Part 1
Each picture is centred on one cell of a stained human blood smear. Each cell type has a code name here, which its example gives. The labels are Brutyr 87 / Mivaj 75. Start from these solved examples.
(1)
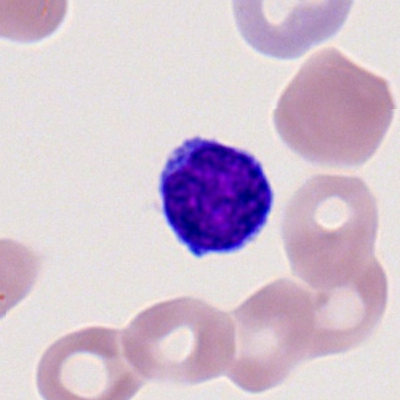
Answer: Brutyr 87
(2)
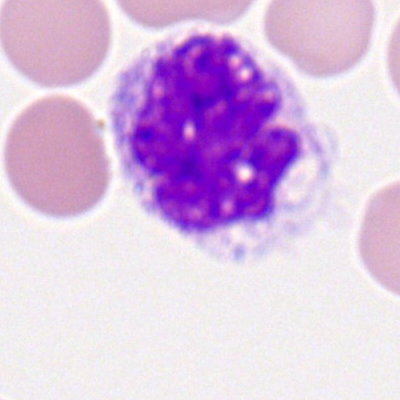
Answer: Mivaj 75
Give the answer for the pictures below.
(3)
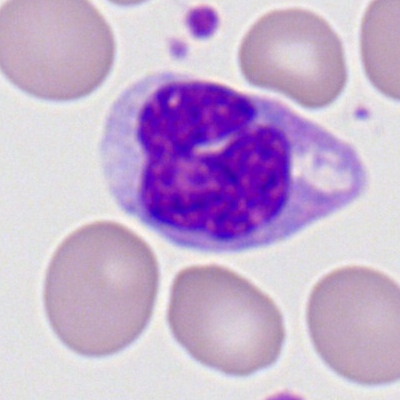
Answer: Mivaj 75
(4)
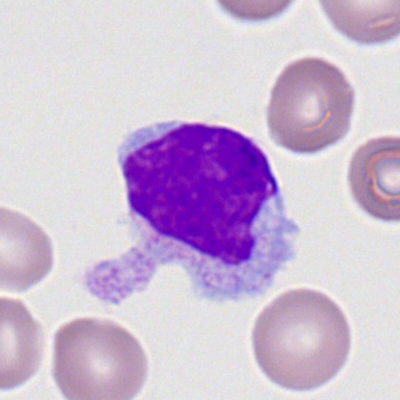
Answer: Brutyr 87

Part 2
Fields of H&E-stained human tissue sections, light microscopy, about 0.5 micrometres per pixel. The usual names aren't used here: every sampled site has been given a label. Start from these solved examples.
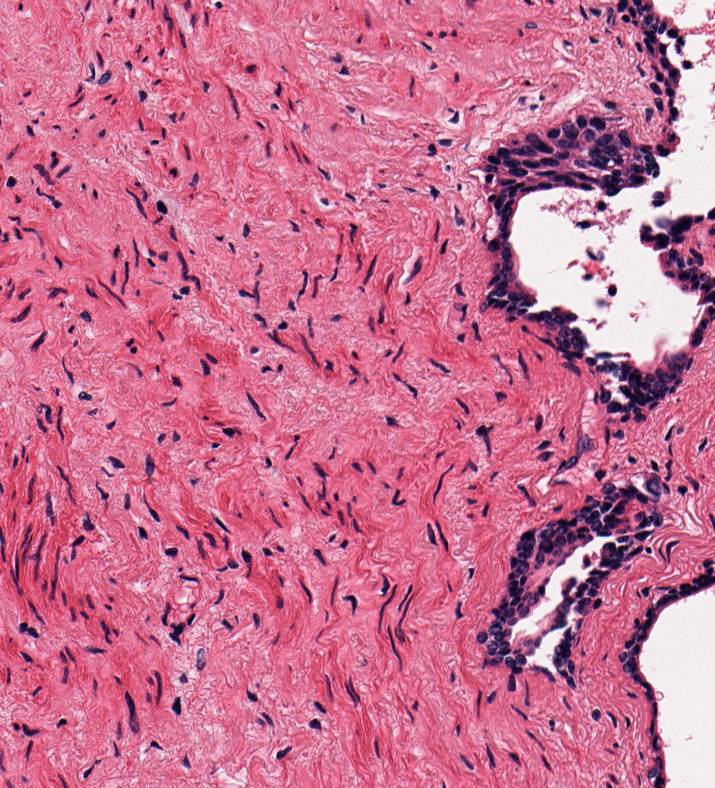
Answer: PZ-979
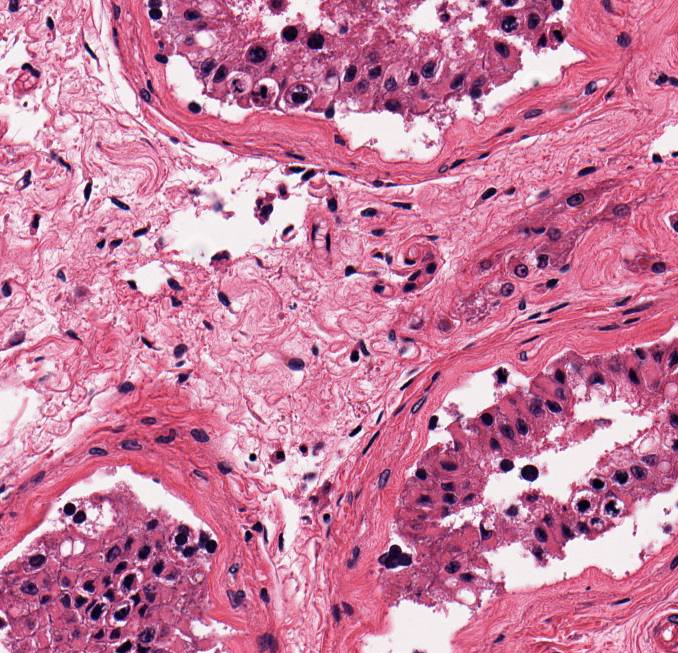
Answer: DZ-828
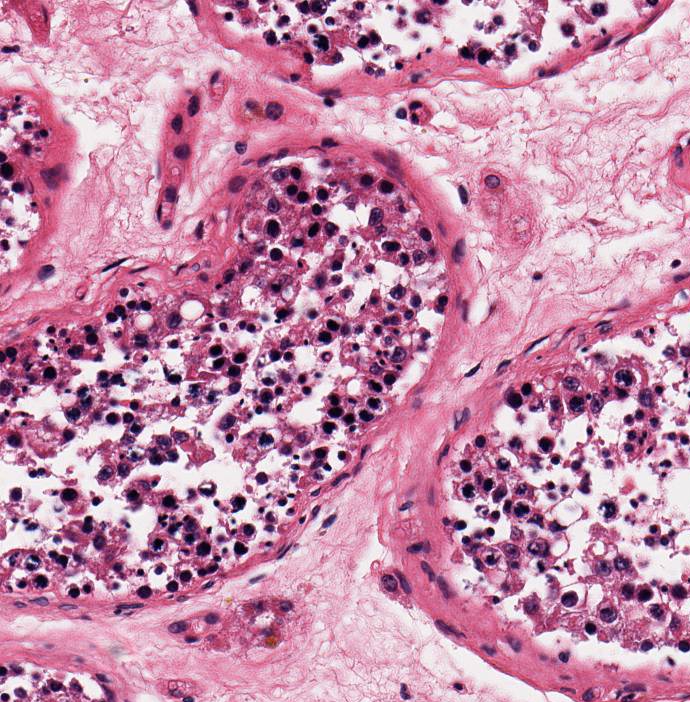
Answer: DZ-828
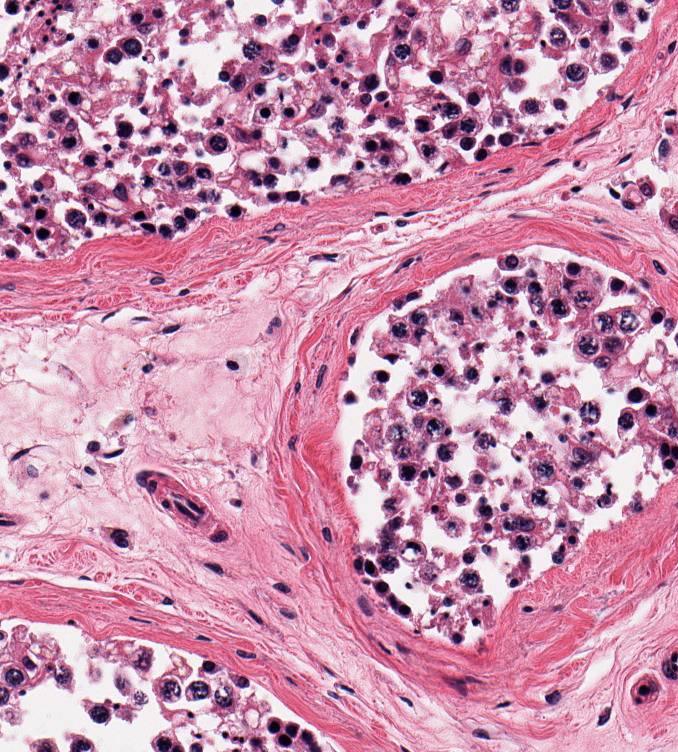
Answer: DZ-828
